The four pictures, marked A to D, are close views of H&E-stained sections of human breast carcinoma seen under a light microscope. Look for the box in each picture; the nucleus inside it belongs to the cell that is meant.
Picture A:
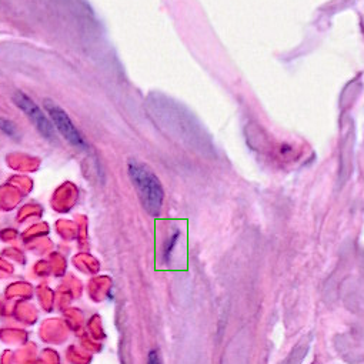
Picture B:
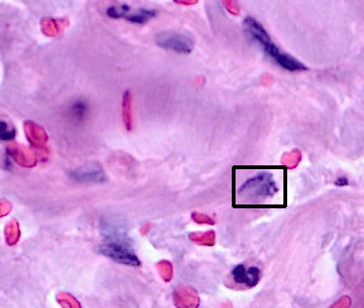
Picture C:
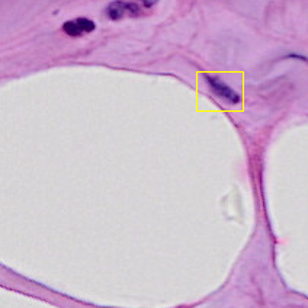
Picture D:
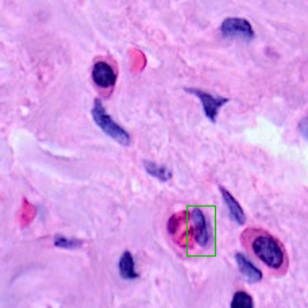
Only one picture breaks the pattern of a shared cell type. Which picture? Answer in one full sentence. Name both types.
All pictures except D show fibroblasts; picture D shows an endothelial cell.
